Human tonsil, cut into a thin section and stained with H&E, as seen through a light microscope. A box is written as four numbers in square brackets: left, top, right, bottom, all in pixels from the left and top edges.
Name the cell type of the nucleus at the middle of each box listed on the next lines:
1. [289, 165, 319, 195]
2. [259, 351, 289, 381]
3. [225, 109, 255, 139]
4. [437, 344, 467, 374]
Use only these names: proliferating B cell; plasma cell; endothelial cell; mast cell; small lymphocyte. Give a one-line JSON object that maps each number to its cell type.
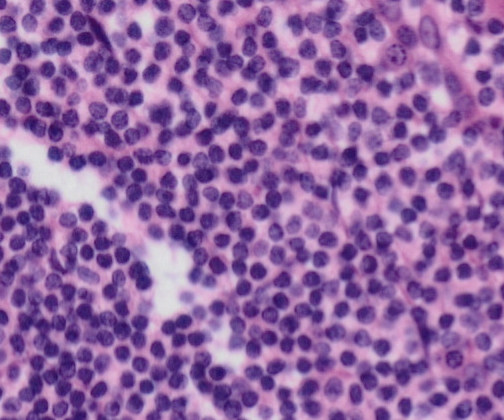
{"1": "small lymphocyte", "2": "small lymphocyte", "3": "small lymphocyte", "4": "plasma cell"}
